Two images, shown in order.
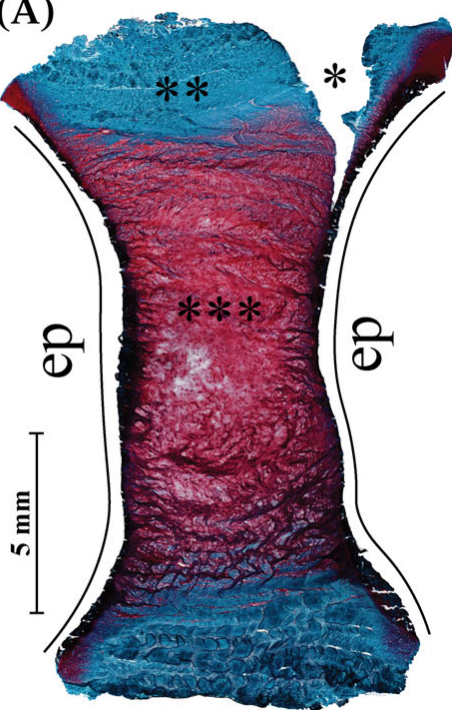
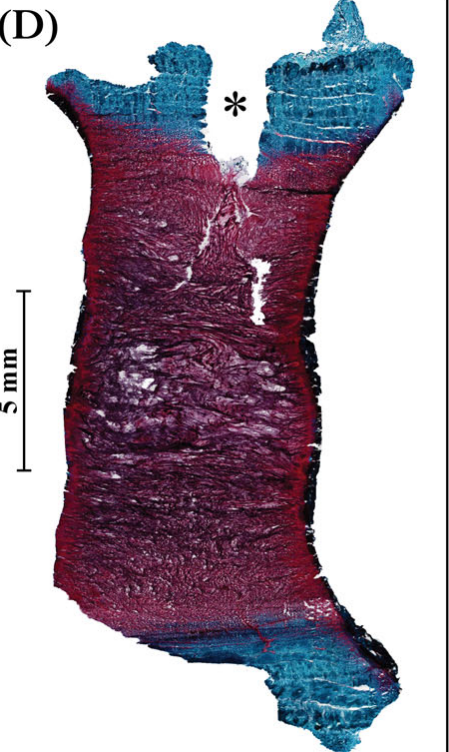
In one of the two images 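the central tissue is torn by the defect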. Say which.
The second image.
